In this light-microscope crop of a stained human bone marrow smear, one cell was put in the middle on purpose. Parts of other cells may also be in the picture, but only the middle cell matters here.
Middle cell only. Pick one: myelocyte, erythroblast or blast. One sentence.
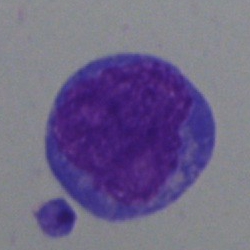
Classified as a blast is the cell in the middle of this crop.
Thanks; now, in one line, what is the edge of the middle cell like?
There are no projections here; the outline is simply smooth.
